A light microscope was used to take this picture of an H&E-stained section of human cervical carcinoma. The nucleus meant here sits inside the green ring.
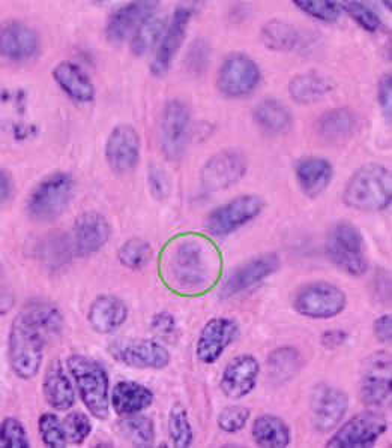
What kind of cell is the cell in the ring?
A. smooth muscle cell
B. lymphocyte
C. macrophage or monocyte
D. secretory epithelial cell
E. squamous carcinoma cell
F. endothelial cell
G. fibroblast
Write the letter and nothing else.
E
